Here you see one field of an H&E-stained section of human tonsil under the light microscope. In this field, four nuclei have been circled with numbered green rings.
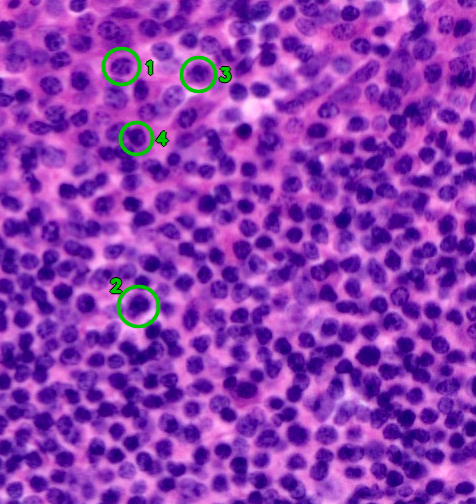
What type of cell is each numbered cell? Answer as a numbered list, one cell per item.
1. plasma cell
2. proliferating B cell
3. plasma cell
4. plasma cell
